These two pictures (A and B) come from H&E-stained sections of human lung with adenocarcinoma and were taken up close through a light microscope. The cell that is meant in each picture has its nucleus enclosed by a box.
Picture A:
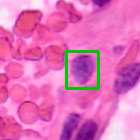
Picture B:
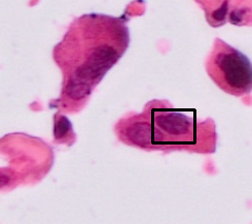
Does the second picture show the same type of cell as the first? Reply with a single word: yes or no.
no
